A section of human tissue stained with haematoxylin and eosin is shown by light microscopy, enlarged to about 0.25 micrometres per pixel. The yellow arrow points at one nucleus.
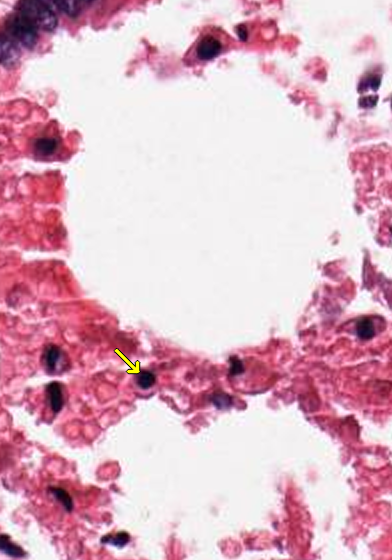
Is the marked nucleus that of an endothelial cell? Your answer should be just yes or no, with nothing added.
no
